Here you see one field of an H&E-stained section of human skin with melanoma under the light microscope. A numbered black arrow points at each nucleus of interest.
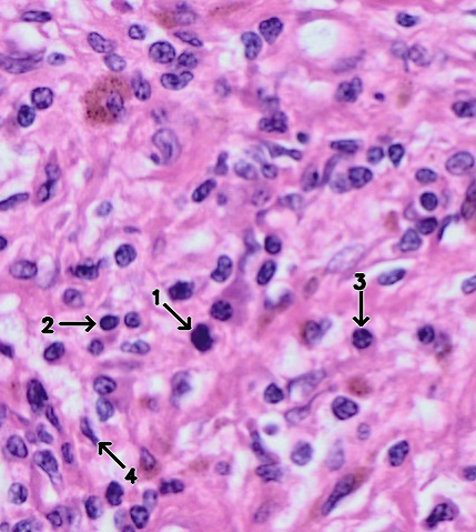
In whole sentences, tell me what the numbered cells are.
Cells 1 and 3 are plasma cells. Cell 2 is a lymphocyte. Cell 4 is a fibroblast or myofibroblast.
